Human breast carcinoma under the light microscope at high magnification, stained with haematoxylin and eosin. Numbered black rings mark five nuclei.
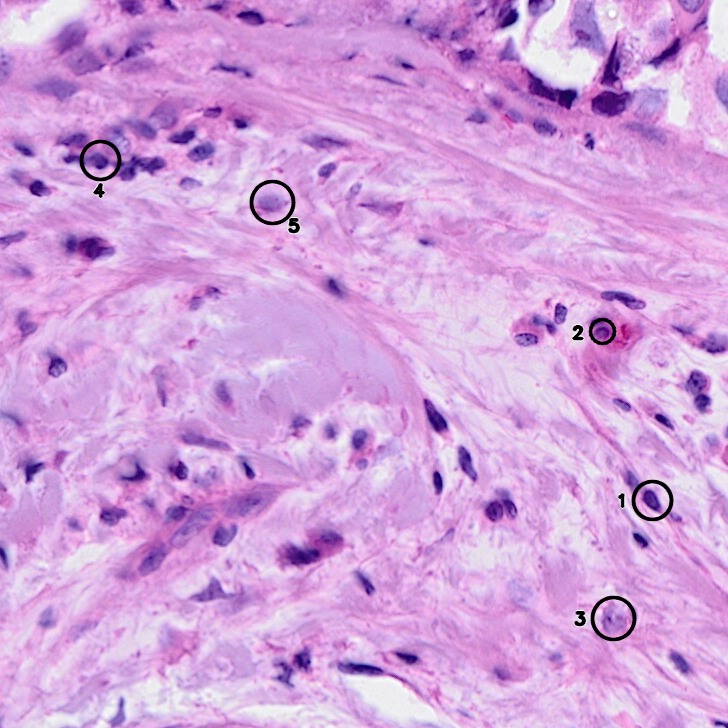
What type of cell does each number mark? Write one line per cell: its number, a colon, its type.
1: lymphocyte
2: endothelial cell
3: fibroblast
4: lymphocyte
5: fibroblast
